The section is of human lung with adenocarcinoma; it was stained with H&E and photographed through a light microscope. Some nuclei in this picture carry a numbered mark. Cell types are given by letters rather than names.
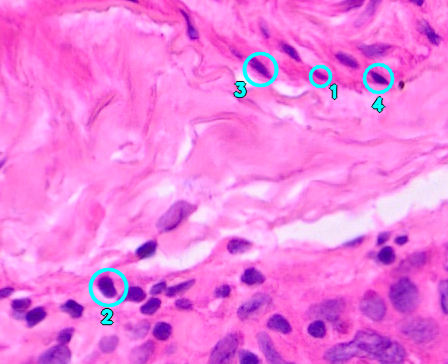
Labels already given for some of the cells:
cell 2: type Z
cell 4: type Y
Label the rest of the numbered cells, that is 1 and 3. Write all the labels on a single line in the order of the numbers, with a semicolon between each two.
type Y; type Y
